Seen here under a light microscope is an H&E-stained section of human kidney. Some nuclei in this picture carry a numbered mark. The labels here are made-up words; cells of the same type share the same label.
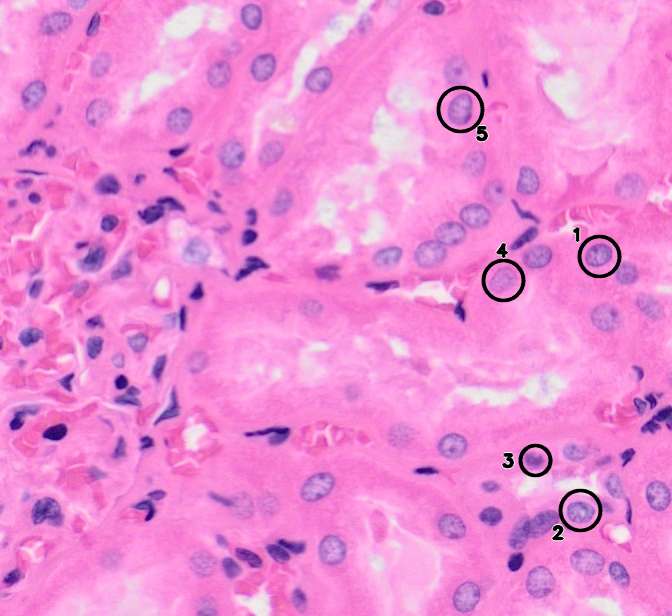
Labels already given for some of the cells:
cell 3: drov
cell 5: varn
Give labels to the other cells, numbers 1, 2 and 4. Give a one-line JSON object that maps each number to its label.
{"1": "varn", "2": "drov", "4": "varn"}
